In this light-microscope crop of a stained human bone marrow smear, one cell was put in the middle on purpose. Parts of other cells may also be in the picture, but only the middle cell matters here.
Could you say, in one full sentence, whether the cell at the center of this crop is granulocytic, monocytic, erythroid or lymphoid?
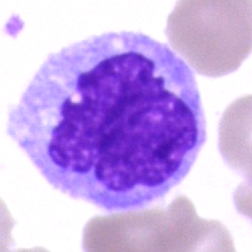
In the crop, the cell at the center is of monocytic lineage.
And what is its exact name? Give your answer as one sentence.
The cell of interest, located centrally, is a monocyte.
